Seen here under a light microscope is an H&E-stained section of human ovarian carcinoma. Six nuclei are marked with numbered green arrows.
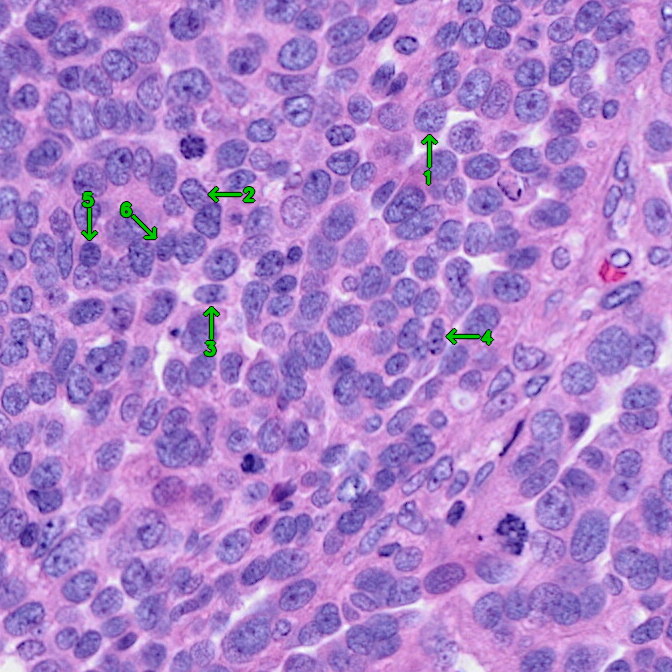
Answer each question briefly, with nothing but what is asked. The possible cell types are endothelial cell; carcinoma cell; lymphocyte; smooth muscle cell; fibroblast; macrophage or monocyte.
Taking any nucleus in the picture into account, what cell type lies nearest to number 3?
carcinoma cell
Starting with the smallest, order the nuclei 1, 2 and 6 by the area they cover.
6, 2, 1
